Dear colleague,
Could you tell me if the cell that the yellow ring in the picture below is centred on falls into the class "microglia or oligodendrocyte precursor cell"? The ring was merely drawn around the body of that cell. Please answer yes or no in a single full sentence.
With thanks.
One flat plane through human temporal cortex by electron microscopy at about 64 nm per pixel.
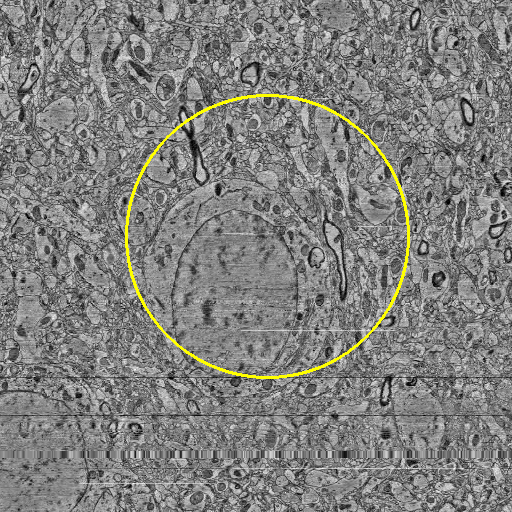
No, the cell on which the ring in your picture is centred falls into a different class.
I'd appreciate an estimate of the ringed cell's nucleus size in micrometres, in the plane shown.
Approximately 11 x 8 micrometres in this plane.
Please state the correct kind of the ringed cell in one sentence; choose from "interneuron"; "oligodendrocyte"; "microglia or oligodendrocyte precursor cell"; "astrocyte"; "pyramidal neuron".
The cell enclosed by the ring is a pyramidal neuron.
